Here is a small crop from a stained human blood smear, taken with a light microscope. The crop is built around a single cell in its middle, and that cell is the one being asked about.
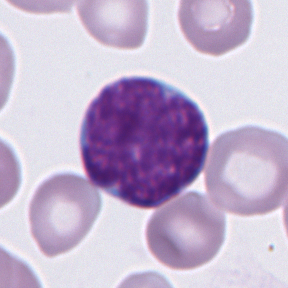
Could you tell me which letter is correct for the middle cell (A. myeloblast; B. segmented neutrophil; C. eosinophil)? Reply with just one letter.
A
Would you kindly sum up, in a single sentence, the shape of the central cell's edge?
Nothing juts out from the margin, which is smooth throughout.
